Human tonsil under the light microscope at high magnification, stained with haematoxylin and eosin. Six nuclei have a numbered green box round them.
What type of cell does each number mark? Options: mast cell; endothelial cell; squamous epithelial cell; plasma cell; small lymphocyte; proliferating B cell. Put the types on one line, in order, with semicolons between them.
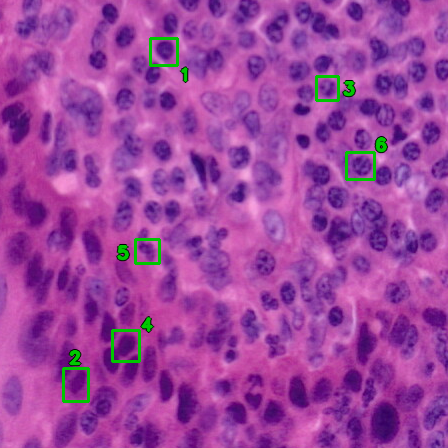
plasma cell; squamous epithelial cell; plasma cell; squamous epithelial cell; squamous epithelial cell; plasma cell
